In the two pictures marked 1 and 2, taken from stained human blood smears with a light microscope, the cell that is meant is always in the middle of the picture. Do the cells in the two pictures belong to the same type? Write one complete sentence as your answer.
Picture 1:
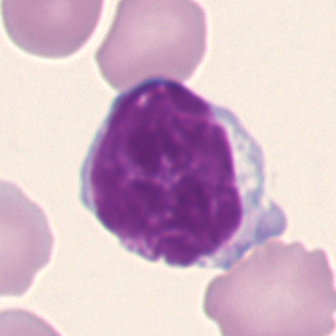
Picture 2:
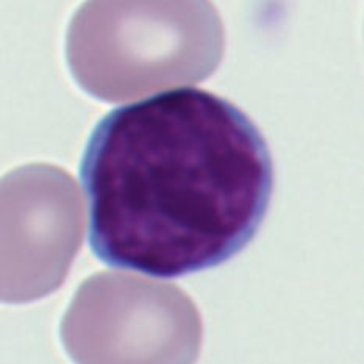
Yes, the two pictures both show typical lymphocytes.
